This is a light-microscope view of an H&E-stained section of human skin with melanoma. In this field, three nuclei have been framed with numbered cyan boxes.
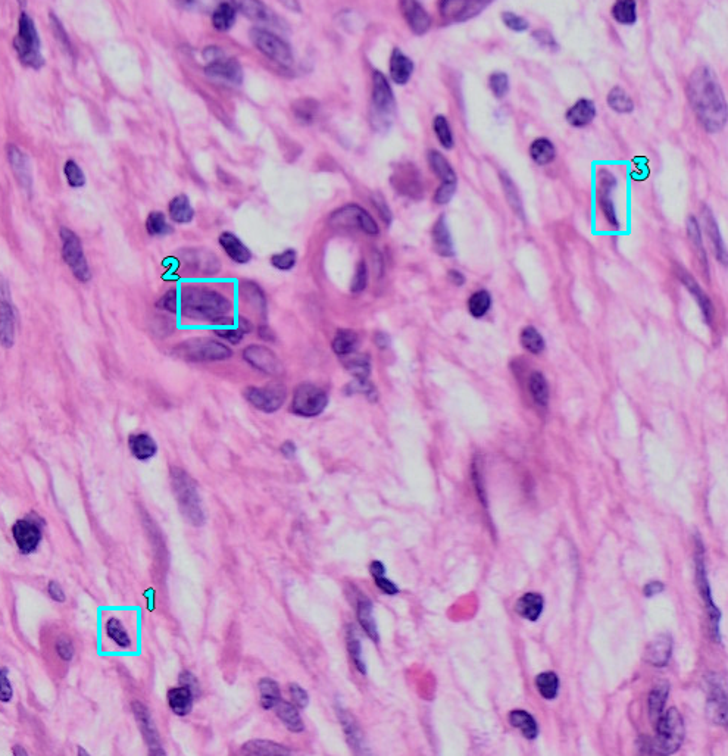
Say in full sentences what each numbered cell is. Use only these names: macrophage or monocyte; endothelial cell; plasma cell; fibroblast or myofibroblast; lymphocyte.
Cell 1 is a lymphocyte. Cell 2 is an endothelial cell. Cell 3 is a fibroblast or myofibroblast.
